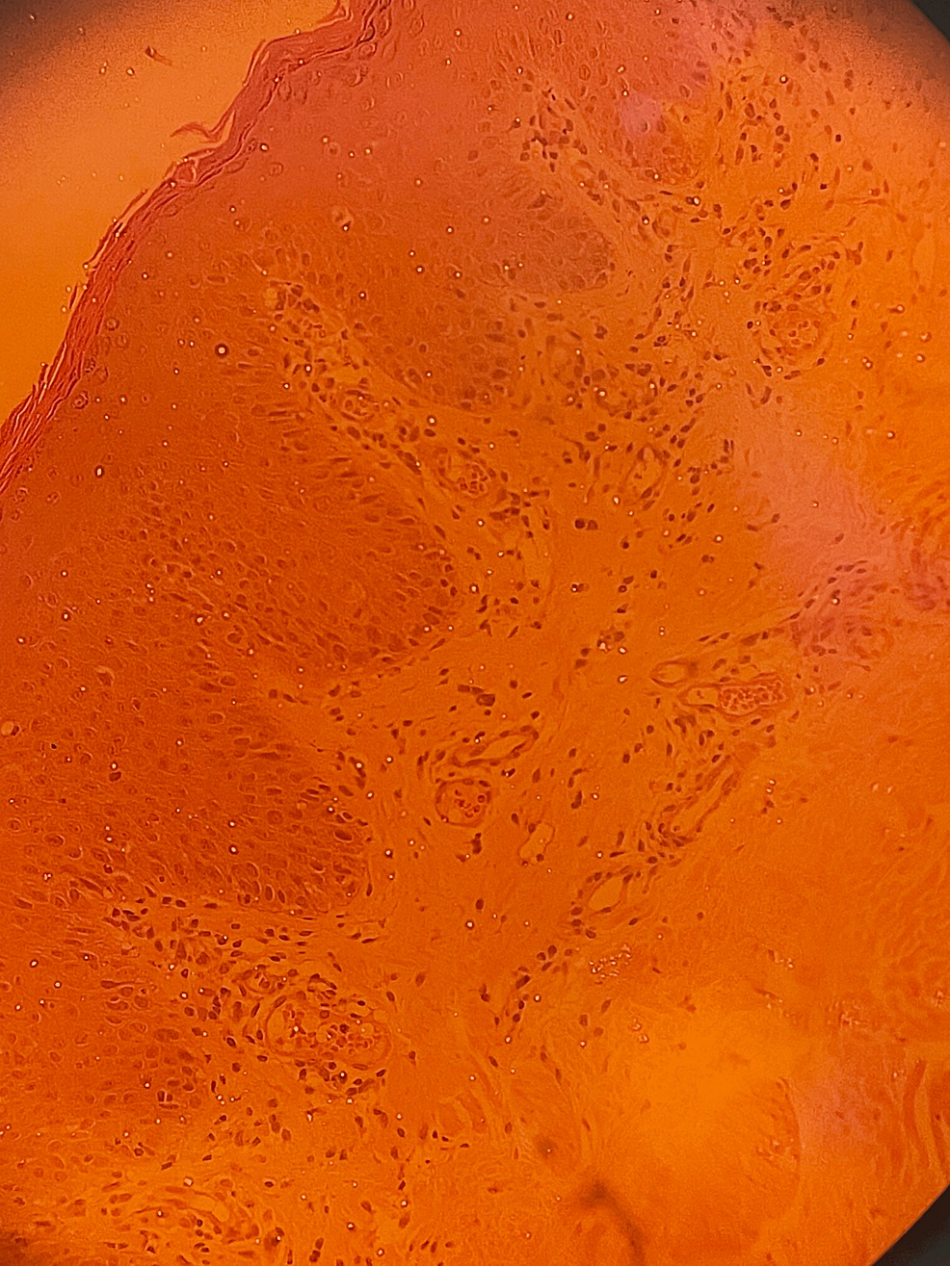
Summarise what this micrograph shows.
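This is skin. A thick layer of stratified squamous epithelium runs down the left side, and a thin, wavy, layered cornified surface lines its upper left edge. The epithelium is made of many rows of keratinocytes with oval nuclei. It pushes into the underlying tissue as broad, blunt downgrowths. To the right lies the dermis, a pale fibrous connective tissue with scattered spindle-shaped nuclei and several small vessel cross-sections. Small, round, dark nuclei gather loosely around some of these vessels, and the whole image has an orange cast.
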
